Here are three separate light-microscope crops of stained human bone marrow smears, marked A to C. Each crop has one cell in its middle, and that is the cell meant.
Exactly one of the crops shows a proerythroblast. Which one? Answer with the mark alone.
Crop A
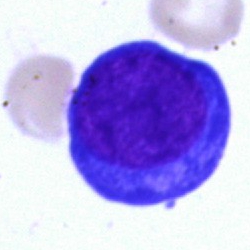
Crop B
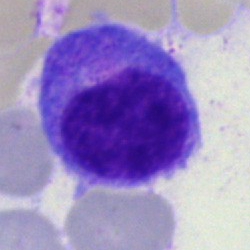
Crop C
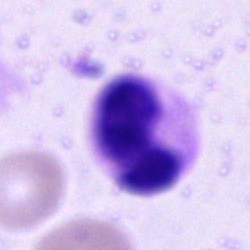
A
